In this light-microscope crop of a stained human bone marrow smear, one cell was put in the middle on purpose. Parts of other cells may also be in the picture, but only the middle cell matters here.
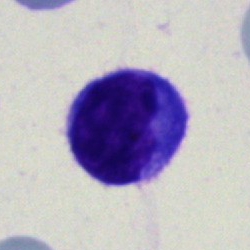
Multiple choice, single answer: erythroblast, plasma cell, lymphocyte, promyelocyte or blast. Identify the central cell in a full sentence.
In the middle of this smear crop is a lymphocyte.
